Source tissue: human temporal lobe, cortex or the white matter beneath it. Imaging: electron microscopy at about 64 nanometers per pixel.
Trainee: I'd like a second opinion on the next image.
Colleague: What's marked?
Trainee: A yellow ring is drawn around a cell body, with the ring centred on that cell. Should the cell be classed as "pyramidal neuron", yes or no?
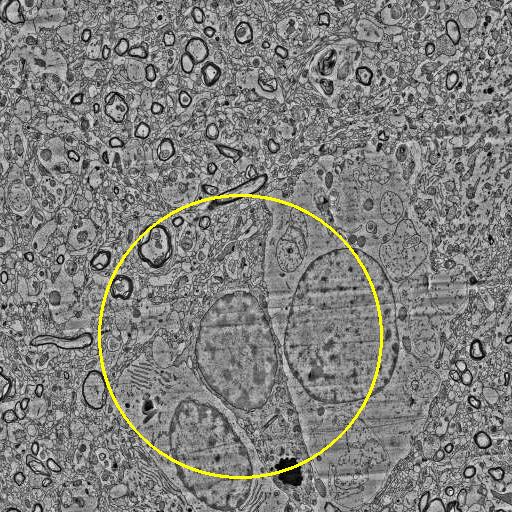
No, it should be classed as another kind.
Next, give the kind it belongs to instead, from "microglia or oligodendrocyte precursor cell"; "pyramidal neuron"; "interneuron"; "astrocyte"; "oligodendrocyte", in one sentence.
That cell in the ring is an oligodendrocyte instead.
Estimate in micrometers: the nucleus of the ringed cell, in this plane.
In this plane the nucleus measures roughly 8 by 5 micrometres.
